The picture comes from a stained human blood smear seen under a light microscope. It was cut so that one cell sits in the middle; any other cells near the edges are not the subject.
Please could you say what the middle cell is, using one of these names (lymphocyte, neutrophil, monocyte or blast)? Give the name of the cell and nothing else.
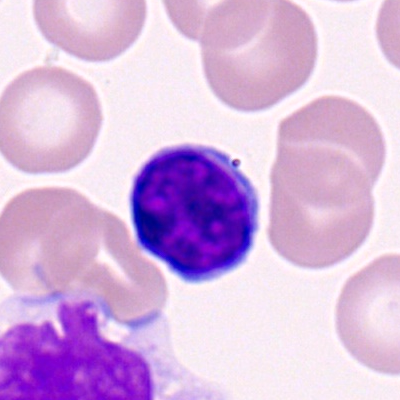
lymphocyte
